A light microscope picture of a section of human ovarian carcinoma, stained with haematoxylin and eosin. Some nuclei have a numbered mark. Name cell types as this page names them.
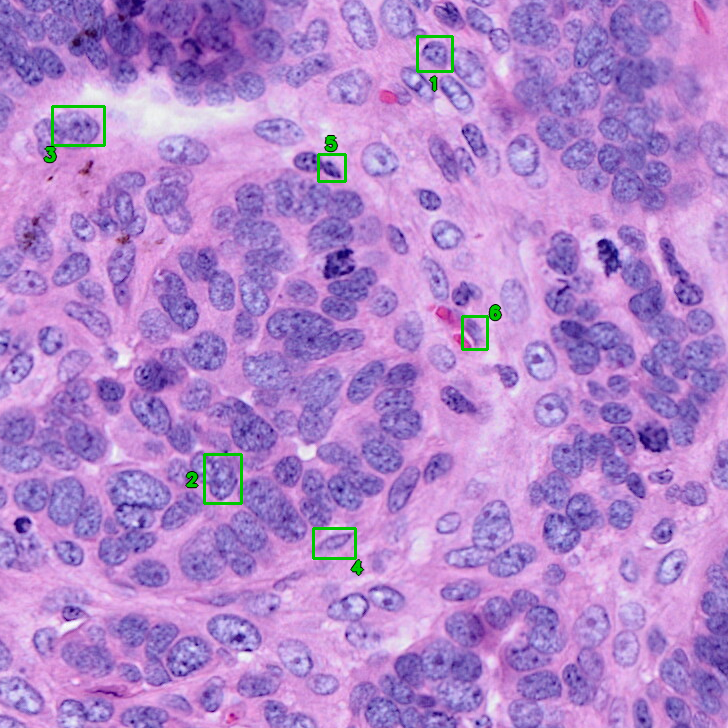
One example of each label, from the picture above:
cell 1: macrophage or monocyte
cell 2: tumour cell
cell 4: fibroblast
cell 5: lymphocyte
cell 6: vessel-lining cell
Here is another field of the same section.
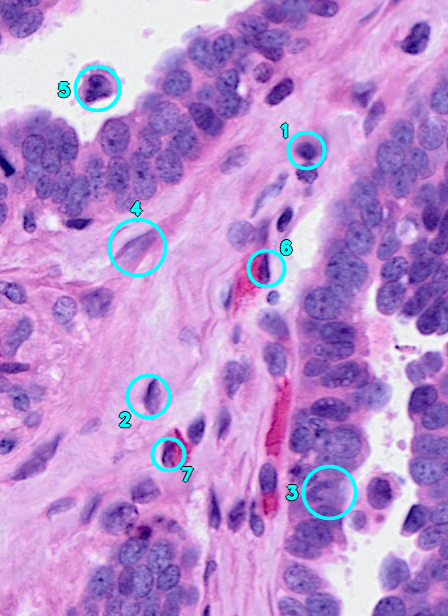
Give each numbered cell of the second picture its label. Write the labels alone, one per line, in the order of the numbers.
lymphocyte
fibroblast
tumour cell
fibroblast
macrophage or monocyte
vessel-lining cell
vessel-lining cell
